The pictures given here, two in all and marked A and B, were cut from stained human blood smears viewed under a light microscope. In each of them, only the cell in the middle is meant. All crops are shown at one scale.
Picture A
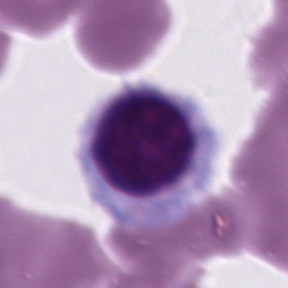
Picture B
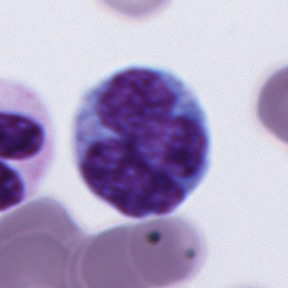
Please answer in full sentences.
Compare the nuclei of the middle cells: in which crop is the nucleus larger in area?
It is the nucleus in picture B, about 1.5 times as large in area as the one in picture A.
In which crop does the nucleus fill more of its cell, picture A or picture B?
In picture B the nucleus takes up the larger part of its cell.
